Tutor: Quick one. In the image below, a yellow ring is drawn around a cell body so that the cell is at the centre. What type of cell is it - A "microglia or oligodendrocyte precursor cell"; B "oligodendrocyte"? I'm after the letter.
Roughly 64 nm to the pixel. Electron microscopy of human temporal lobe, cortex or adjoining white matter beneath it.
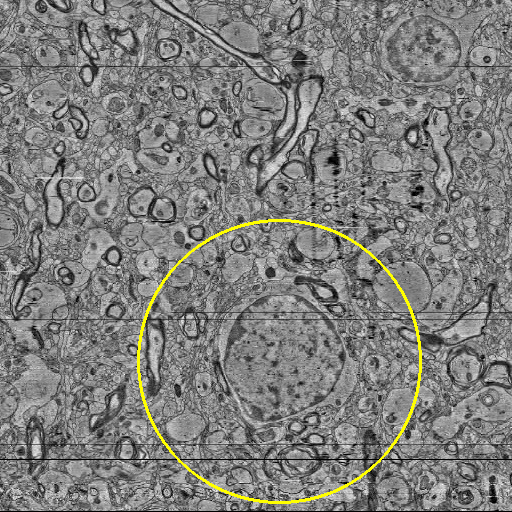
A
